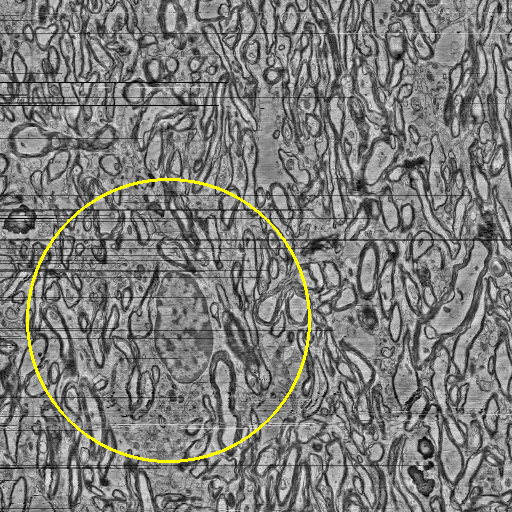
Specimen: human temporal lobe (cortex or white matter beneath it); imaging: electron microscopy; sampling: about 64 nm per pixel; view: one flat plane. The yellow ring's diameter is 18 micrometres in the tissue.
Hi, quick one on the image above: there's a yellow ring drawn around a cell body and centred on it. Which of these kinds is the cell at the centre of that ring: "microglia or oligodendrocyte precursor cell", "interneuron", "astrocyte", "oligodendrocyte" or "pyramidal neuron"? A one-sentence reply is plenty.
The cell at the centre of the ring is a microglial cell or oligodendrocyte precursor cell.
